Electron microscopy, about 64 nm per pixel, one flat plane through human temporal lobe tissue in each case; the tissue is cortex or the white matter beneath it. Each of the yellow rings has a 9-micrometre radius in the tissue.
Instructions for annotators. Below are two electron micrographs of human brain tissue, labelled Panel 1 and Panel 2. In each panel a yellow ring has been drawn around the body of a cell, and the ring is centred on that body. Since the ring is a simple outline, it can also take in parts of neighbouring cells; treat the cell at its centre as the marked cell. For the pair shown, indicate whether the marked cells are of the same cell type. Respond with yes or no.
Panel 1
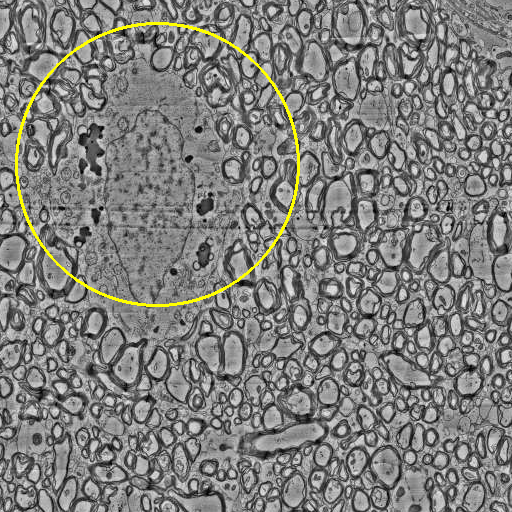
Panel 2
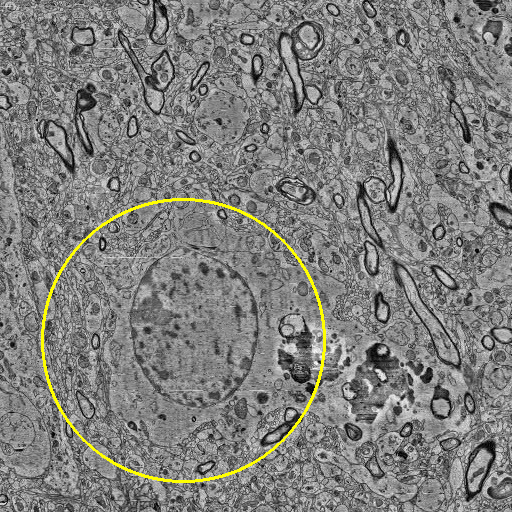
no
